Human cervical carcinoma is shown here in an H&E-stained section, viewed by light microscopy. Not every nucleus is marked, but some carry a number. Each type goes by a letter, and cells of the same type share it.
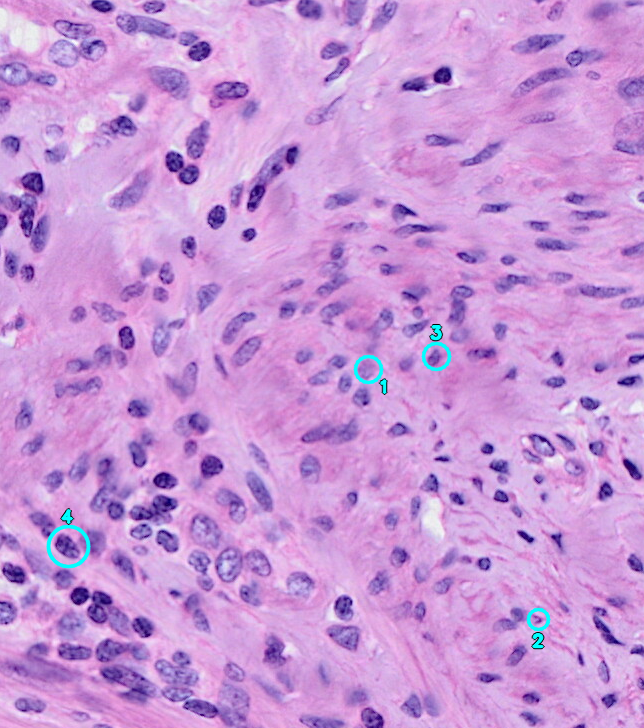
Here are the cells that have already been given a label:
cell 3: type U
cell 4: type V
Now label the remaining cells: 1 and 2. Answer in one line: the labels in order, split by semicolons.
type U; type U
